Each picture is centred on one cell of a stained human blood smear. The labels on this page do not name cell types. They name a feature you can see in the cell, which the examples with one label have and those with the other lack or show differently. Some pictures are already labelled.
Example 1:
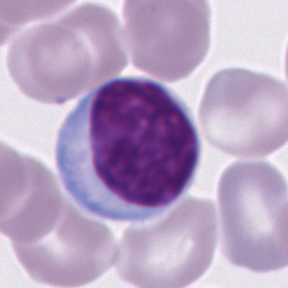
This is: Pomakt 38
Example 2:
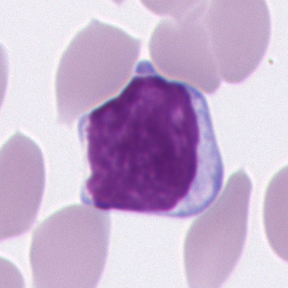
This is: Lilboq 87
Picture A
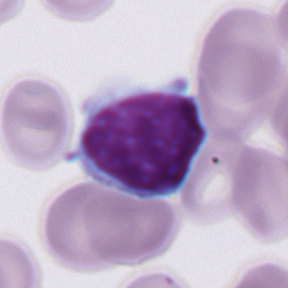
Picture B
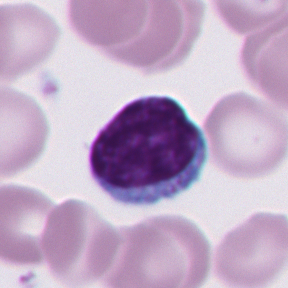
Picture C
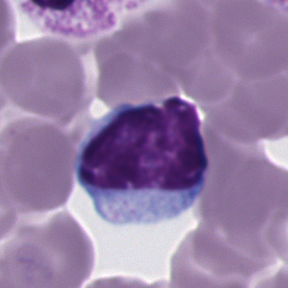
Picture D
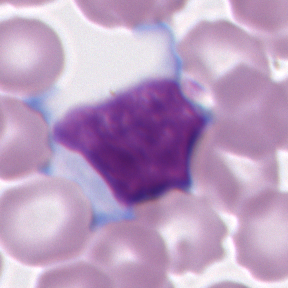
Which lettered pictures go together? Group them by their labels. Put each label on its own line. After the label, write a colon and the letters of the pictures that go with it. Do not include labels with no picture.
Pomakt 38: B, C
Lilboq 87: A, D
